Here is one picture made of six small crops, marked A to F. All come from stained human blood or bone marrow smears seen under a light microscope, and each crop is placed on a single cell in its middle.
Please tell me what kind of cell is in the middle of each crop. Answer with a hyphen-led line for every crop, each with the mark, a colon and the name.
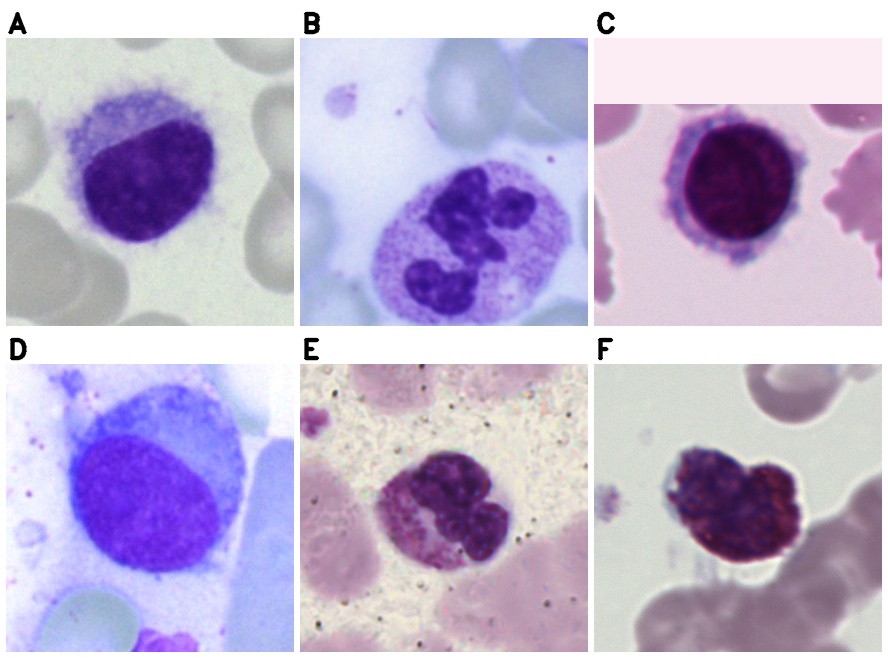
- A: hairy cell
- B: segmented neutrophil
- C: hairy cell
- D: hairy cell
- E: eosinophil
- F: eosinophil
